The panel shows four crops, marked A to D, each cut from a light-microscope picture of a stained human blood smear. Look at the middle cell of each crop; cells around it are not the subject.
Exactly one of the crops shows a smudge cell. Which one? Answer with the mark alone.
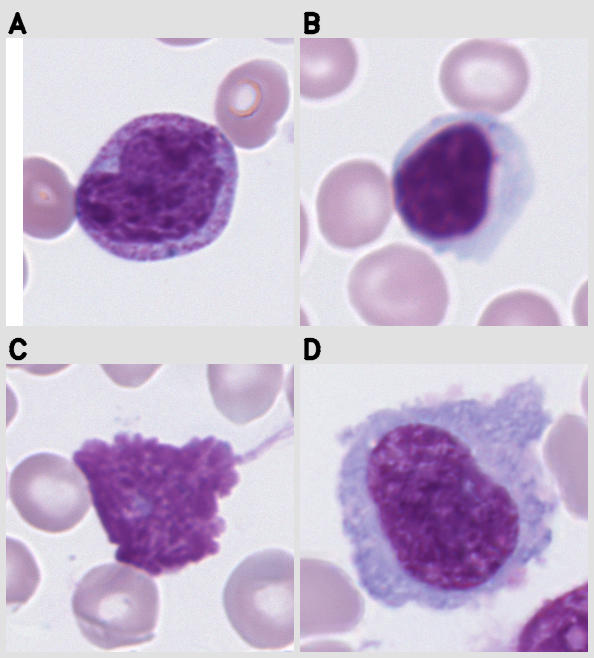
C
